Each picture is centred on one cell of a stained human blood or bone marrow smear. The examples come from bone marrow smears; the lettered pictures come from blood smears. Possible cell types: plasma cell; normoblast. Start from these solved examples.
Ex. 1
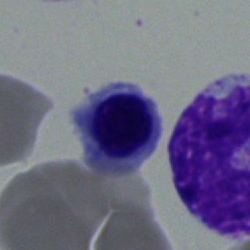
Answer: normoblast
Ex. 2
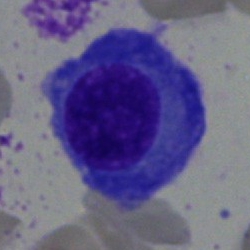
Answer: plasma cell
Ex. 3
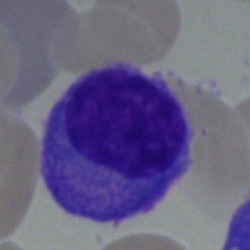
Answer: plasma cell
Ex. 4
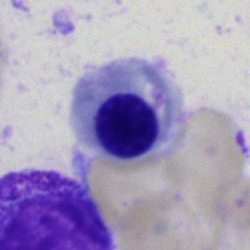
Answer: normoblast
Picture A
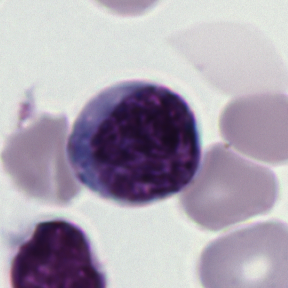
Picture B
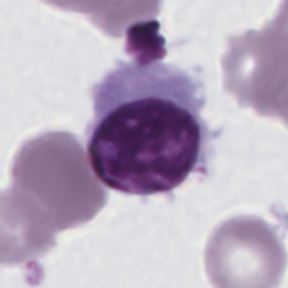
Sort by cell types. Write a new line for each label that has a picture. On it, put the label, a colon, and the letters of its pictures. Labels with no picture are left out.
plasma cell: A, B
